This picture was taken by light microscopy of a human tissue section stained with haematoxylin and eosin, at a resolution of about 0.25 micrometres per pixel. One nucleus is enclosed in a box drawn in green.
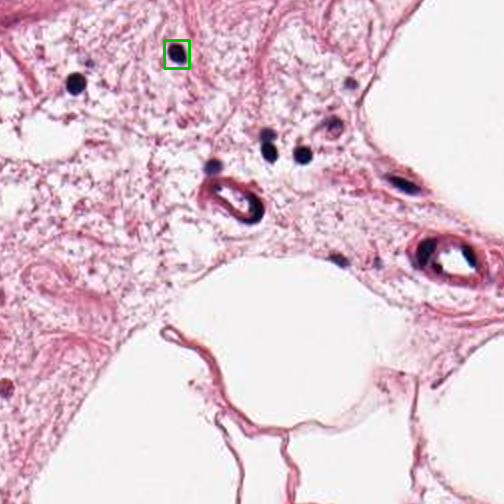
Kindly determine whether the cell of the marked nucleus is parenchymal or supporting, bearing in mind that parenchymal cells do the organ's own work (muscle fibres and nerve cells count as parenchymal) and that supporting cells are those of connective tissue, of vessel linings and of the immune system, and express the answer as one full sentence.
The marked nucleus is held by a supporting cell.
